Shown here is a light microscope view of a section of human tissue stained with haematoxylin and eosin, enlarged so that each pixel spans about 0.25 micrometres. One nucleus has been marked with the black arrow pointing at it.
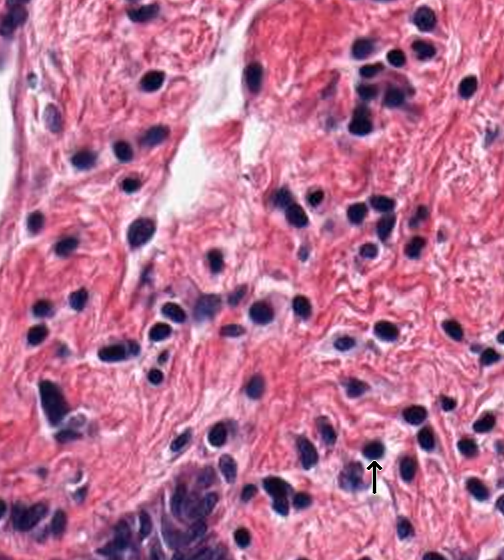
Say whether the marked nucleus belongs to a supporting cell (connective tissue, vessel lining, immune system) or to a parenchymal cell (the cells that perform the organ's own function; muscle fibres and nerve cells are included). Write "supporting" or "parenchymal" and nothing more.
supporting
